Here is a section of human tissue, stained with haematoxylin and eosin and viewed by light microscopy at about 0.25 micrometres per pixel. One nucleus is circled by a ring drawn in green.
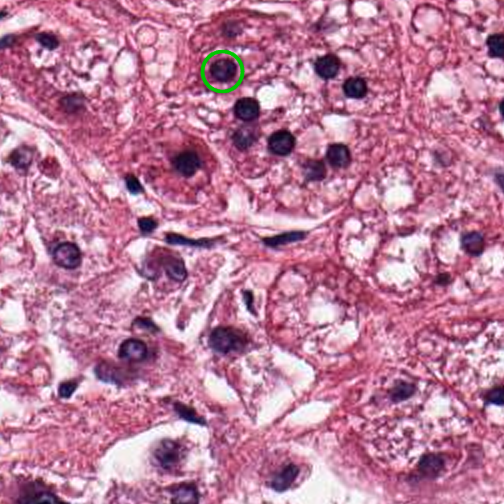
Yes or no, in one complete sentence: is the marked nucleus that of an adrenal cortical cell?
Yes, the nucleus that is marked belongs to an adrenal cortical cell.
